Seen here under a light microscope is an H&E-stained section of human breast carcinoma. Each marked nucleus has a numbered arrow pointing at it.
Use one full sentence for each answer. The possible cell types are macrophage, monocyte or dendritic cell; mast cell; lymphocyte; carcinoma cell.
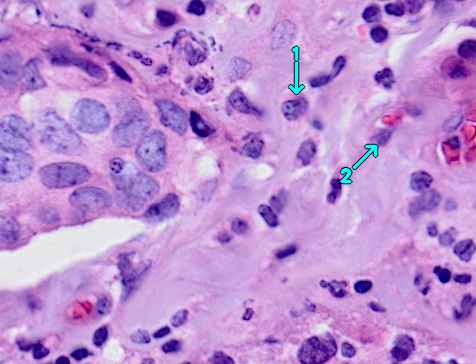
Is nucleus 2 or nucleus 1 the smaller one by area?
It is nucleus 2; nucleus 1 has about 1.5 times its area.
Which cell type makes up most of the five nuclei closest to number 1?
Macrophages, monocytes or dendritic cells make up most of the five nuclei closest to number 1.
